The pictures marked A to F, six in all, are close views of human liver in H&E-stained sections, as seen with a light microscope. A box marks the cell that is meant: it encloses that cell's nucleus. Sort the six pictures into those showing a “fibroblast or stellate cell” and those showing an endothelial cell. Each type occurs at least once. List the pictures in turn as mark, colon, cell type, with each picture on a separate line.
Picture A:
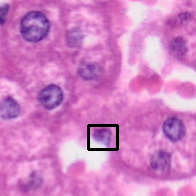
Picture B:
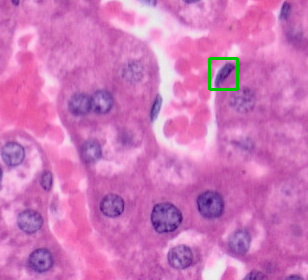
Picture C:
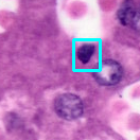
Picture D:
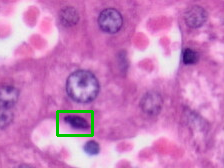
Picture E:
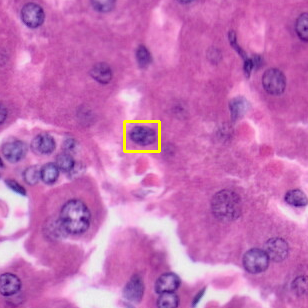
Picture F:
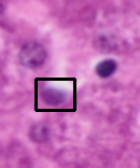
A: fibroblast or stellate cell
B: endothelial cell
C: fibroblast or stellate cell
D: fibroblast or stellate cell
E: fibroblast or stellate cell
F: endothelial cell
